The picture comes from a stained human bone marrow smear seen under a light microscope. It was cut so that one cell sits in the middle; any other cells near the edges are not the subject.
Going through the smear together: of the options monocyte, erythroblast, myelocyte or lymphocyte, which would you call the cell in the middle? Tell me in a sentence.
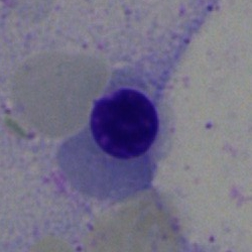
In the middle of this smear crop is an erythroblast.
